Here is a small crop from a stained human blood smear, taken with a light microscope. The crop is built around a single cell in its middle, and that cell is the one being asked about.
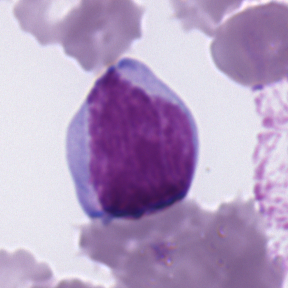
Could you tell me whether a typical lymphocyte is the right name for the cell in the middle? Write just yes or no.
no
